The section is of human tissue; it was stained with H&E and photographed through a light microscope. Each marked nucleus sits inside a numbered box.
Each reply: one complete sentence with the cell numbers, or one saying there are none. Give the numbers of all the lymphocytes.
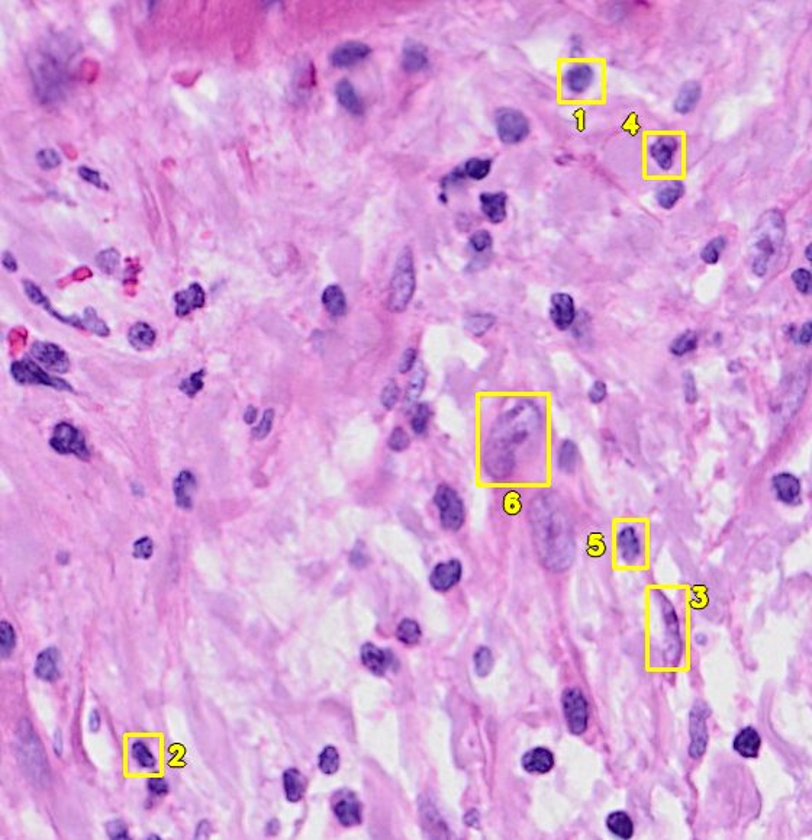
The cells 1, 2, 4 and 5 in this section are lymphocytes.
